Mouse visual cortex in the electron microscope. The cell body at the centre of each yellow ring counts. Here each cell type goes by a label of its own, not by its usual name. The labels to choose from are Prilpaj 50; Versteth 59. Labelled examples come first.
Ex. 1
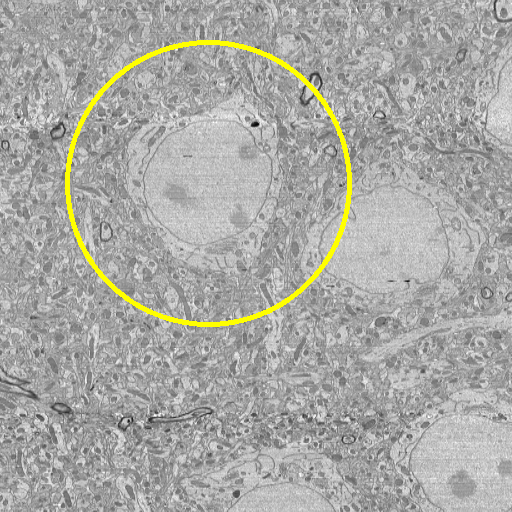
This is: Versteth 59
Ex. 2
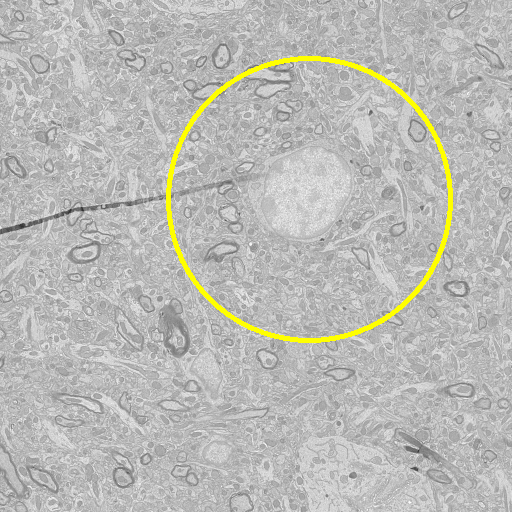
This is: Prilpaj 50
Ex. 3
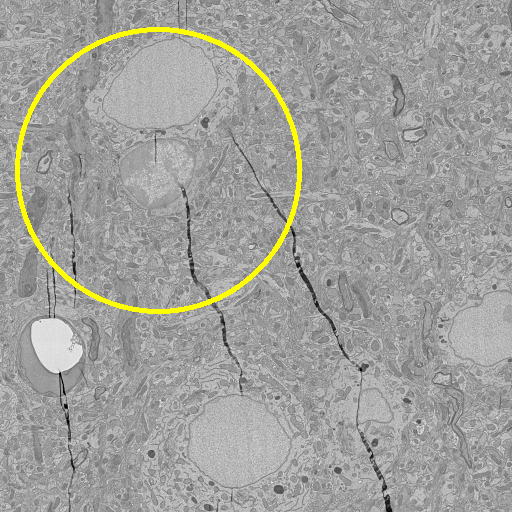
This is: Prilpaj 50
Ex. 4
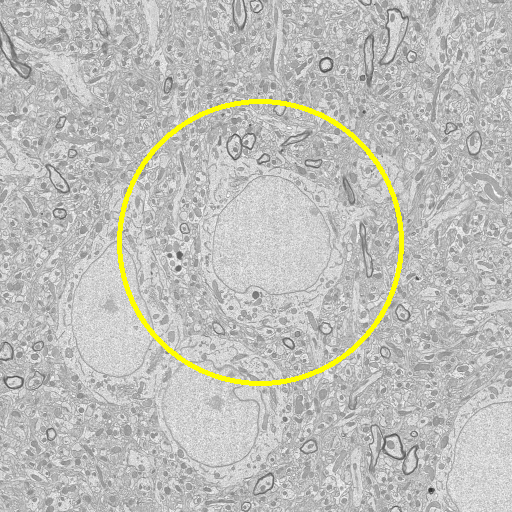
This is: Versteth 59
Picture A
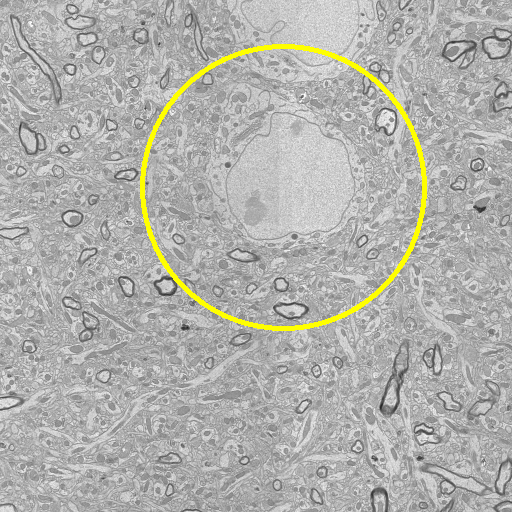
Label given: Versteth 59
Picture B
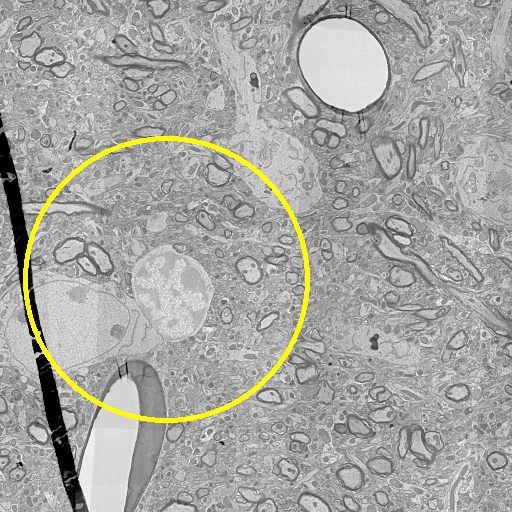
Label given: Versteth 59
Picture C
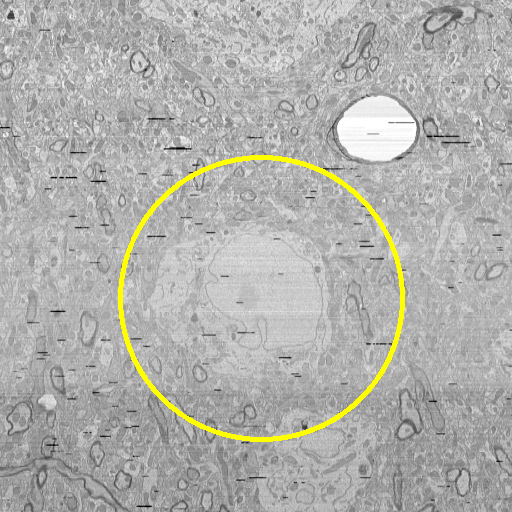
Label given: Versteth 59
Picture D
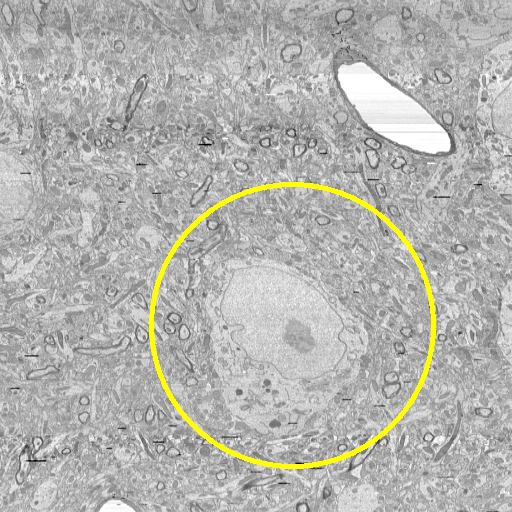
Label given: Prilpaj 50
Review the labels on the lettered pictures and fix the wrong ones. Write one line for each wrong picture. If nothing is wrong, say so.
B should be Prilpaj 50, not Versteth 59
D should be Versteth 59, not Prilpaj 50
